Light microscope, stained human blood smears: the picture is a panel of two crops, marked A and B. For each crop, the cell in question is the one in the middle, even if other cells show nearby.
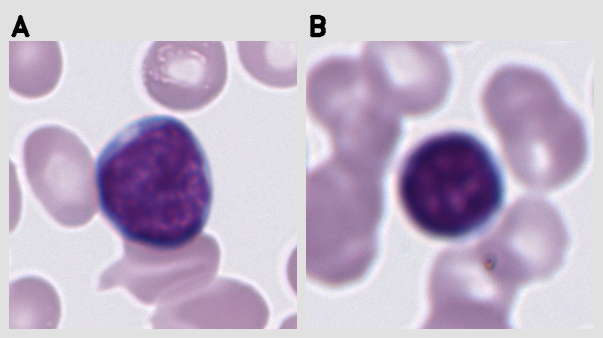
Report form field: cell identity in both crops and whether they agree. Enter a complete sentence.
Yes, that is right, both crops show lymphocytes.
